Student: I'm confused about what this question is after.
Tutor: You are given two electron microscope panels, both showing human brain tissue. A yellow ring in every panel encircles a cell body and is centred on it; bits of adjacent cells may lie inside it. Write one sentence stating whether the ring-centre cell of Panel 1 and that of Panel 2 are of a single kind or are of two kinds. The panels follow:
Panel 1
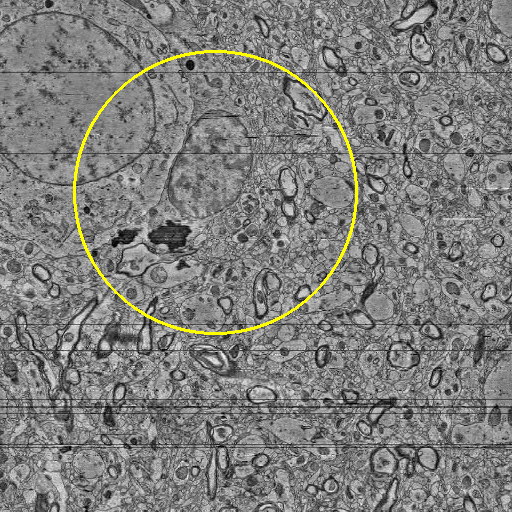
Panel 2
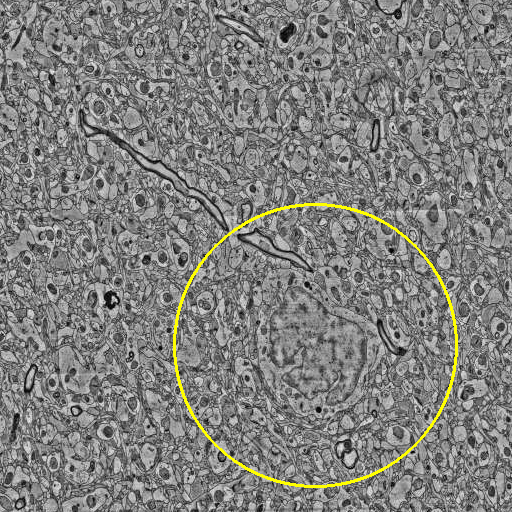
Here, the Panel 1 ring-centre cell and the Panel 2 ring-centre cell are of two kinds.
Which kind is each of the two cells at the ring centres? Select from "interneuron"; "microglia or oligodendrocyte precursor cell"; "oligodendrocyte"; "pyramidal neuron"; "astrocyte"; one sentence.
The cell at the centre of the ring is an oligodendrocyte in the first picture and an interneuron in the second.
